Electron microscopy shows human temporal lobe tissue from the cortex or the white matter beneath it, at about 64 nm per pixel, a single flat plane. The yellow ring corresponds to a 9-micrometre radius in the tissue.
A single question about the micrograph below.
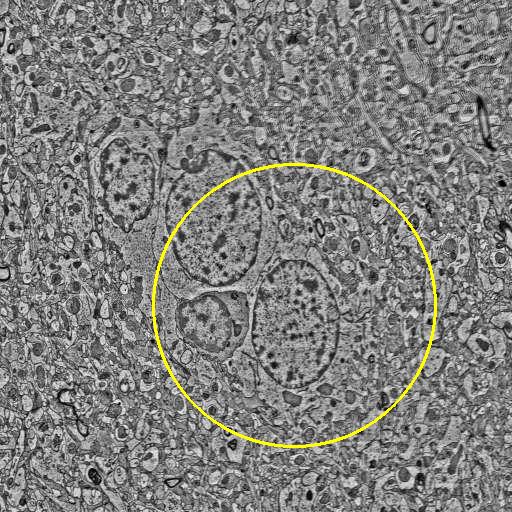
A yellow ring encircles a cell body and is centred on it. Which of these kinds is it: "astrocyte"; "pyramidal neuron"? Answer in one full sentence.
The cell body at the centre of the yellow ring belongs to an astrocyte.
